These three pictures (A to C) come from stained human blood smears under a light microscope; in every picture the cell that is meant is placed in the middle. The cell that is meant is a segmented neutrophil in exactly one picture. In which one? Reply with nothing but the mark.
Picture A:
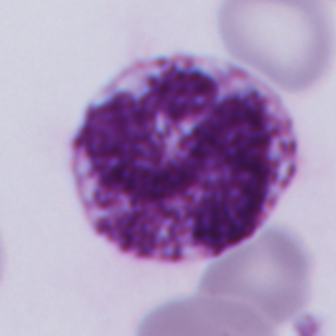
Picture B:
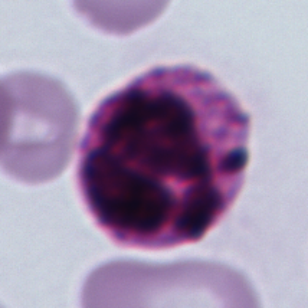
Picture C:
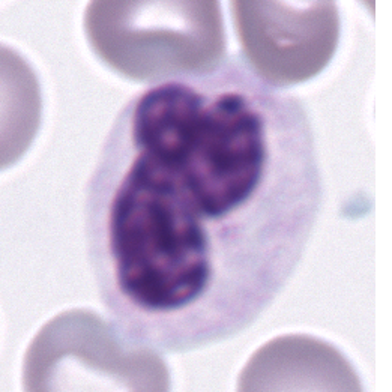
C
